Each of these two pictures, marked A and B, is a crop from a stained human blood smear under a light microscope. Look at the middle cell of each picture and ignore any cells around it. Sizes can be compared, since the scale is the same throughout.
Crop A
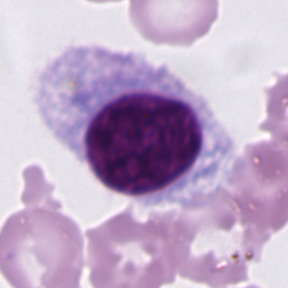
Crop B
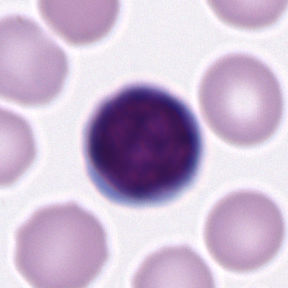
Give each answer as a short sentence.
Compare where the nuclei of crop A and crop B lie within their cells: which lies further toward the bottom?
In crop A the nucleus is shifted more toward the bottom.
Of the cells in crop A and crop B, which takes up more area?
Crop A holds the larger cell; it covers about 1.5 times the area of the cell in crop B.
